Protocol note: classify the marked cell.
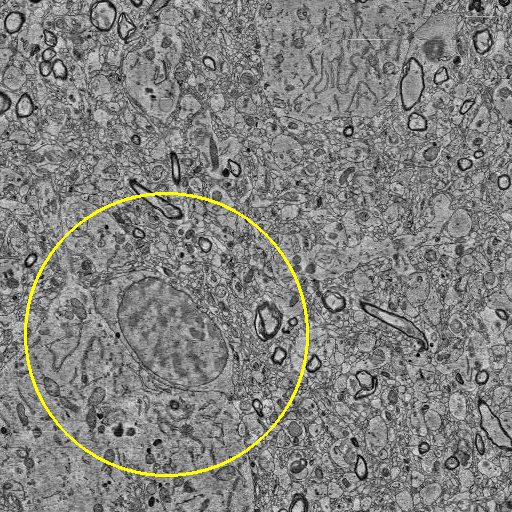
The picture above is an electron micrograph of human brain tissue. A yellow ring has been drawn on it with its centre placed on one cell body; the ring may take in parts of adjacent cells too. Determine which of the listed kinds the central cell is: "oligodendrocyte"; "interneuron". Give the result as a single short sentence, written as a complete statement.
The central cell is an oligodendrocyte.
